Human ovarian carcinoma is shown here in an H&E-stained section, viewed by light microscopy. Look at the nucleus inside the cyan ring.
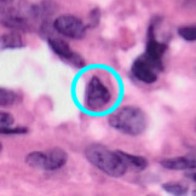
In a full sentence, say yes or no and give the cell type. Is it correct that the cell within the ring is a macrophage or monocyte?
Yes, to put it simply, the cell within the ring is a macrophage or monocyte.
